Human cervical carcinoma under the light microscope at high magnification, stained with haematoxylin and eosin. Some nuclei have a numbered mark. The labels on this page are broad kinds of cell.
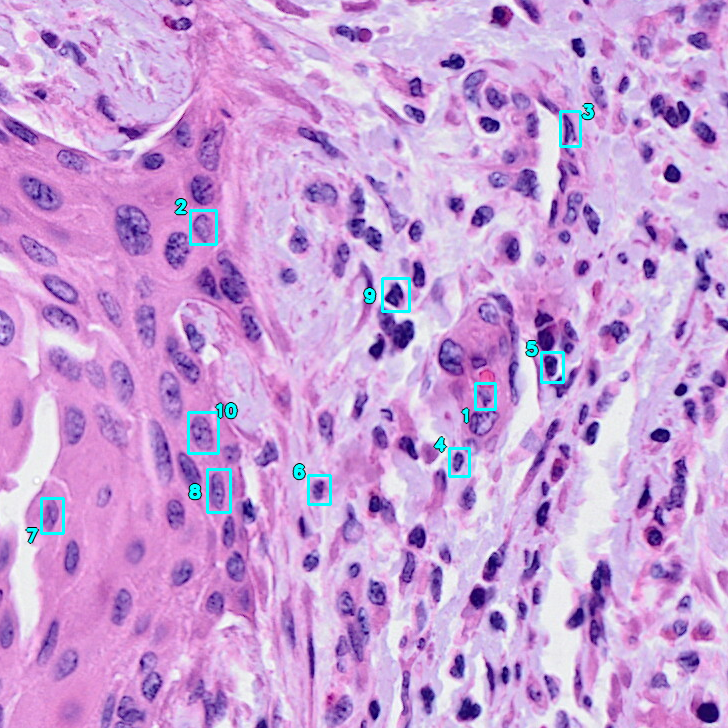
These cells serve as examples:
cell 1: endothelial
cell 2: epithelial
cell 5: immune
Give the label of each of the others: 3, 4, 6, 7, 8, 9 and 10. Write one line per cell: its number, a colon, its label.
3: endothelial
4: immune
6: immune
7: epithelial
8: epithelial
9: immune
10: epithelial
